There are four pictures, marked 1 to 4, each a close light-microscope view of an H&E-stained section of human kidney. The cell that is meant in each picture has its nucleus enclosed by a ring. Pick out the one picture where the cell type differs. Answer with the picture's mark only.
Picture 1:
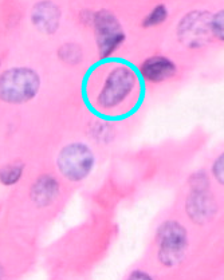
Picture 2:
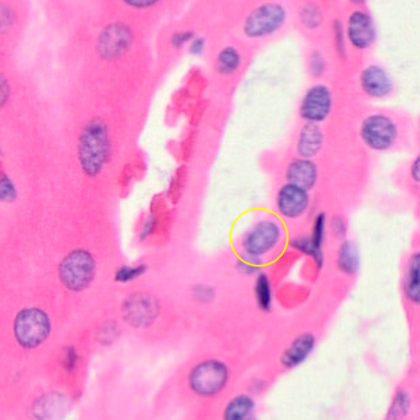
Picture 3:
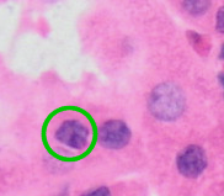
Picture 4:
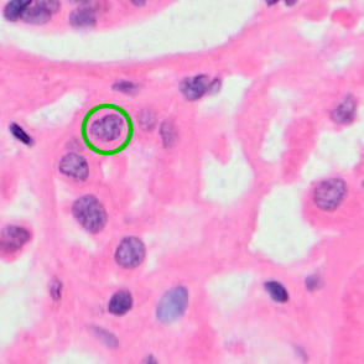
3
